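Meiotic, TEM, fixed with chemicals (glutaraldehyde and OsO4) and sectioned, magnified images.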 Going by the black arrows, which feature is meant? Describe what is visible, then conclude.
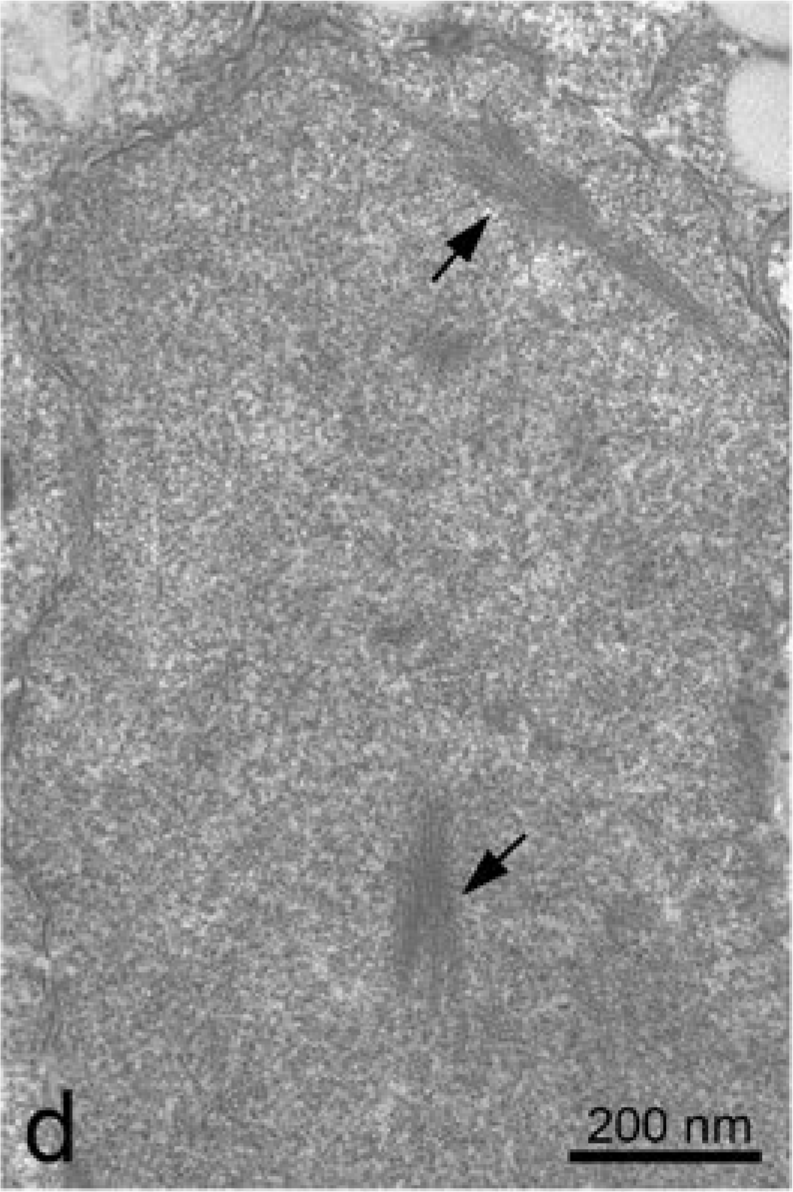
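Arrows point to elongated, finely striated dense structures. The structures lie inside a large membrane-bound compartment with granular content. That points to this answer: nuclear bundles.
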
